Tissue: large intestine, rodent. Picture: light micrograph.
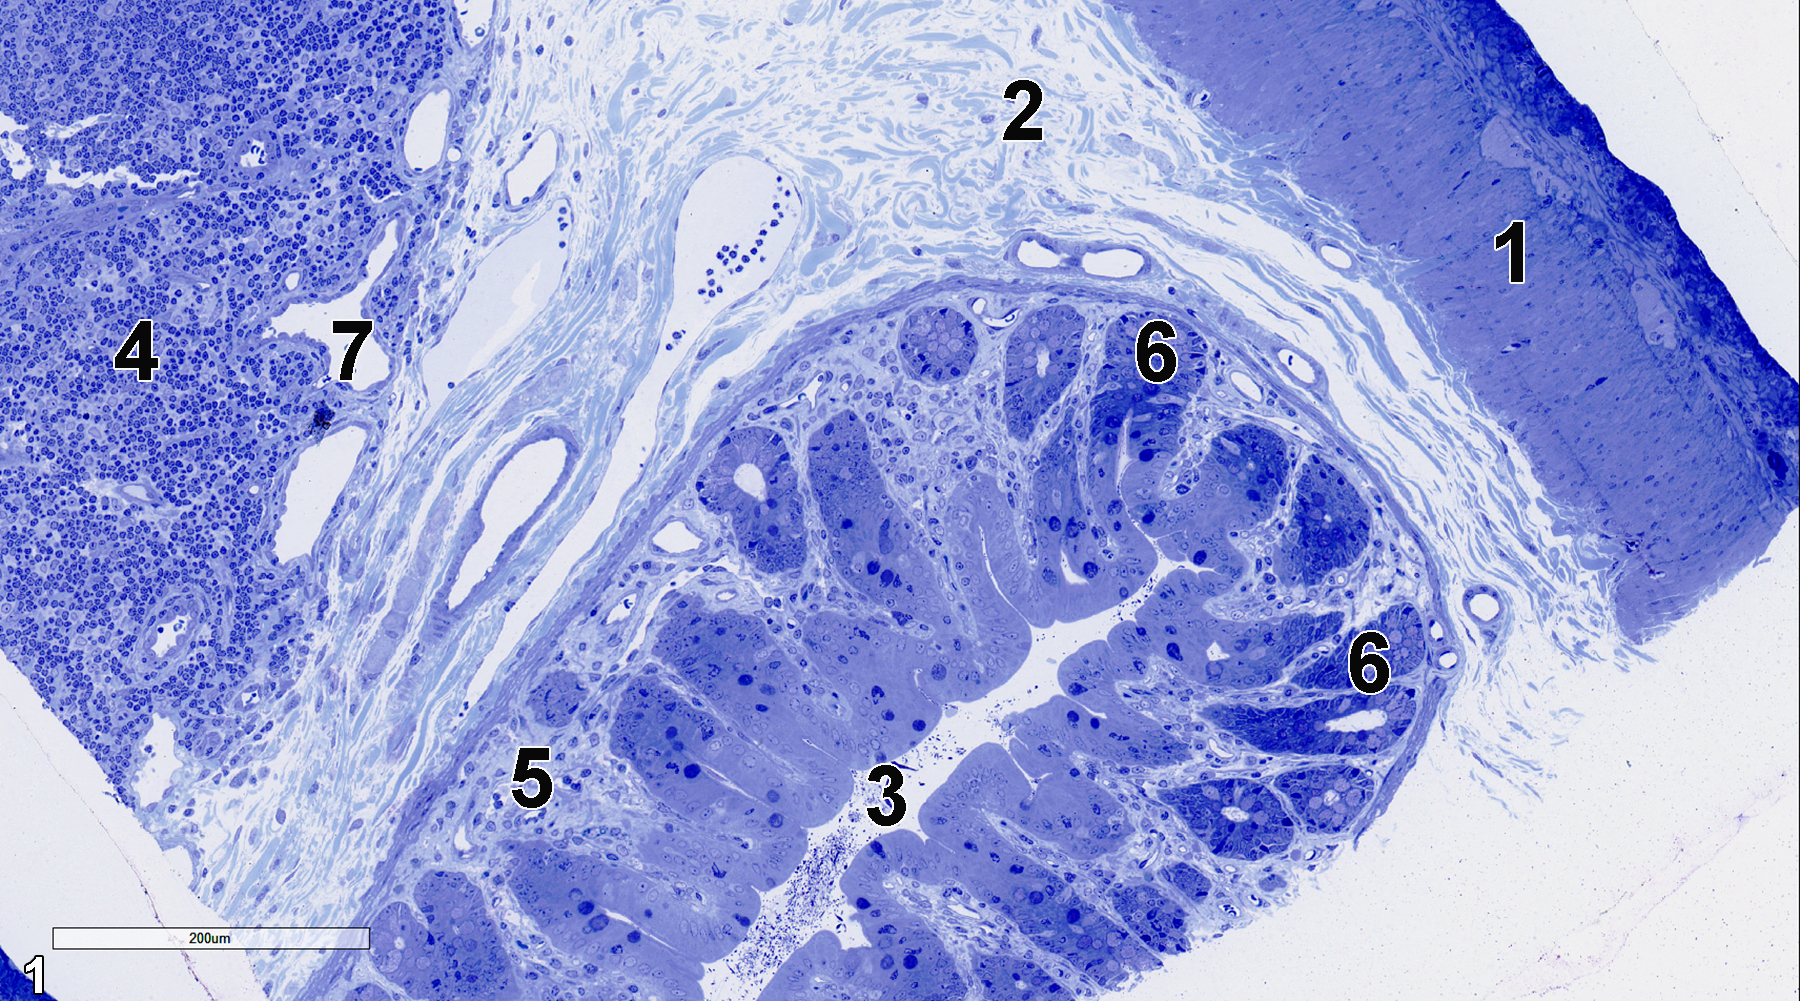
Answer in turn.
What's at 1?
1 marks the tunica muscularis.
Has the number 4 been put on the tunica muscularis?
No. The lymphoid nodules.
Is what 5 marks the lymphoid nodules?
No: the lamina propria.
